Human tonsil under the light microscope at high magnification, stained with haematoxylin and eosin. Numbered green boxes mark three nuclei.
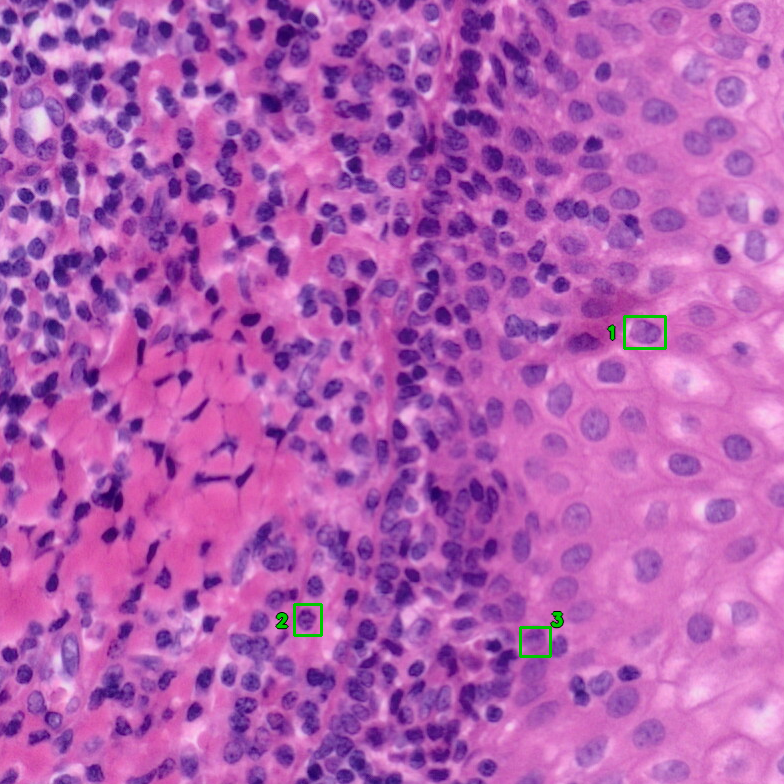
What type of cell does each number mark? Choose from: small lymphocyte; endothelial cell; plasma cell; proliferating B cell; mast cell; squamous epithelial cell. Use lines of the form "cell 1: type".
cell 1: squamous epithelial cell
cell 2: plasma cell
cell 3: squamous epithelial cell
